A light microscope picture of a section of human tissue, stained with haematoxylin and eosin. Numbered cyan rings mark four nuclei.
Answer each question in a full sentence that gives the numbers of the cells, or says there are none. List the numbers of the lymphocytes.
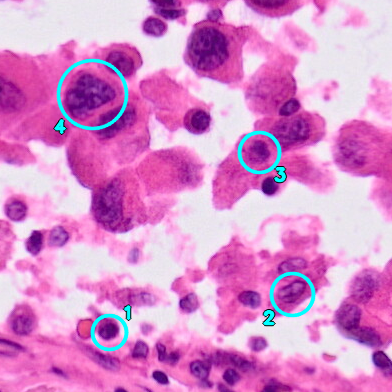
Among the numbered cells, a lymphocyte occurs only once, as cell 1.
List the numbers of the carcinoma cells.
Regarding the numbered cells 3 and 4, these are carcinoma cells.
